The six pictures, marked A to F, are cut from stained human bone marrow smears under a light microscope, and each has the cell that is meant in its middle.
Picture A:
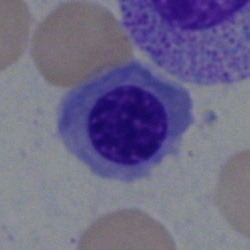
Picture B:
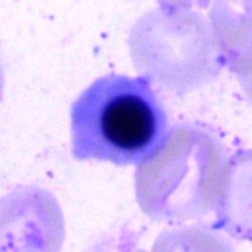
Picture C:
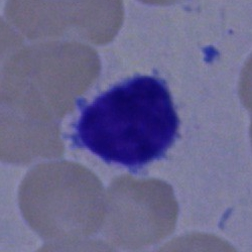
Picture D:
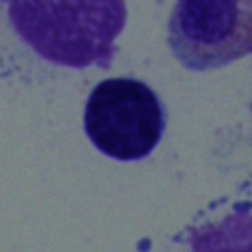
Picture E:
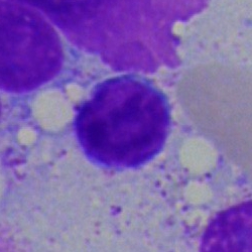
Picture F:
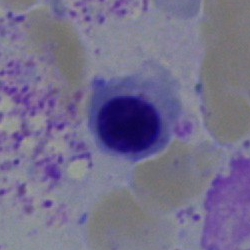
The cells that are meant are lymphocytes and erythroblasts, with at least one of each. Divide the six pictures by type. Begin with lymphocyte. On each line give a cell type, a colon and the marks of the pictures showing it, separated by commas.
lymphocyte: C, D, E
erythroblast: A, B, F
